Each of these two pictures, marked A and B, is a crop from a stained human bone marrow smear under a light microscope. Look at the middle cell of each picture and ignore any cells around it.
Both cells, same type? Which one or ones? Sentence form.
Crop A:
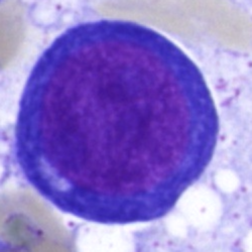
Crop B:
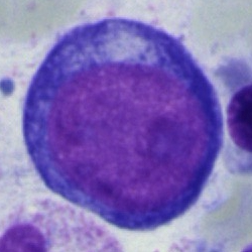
Yes, the two crops both show proerythroblasts.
